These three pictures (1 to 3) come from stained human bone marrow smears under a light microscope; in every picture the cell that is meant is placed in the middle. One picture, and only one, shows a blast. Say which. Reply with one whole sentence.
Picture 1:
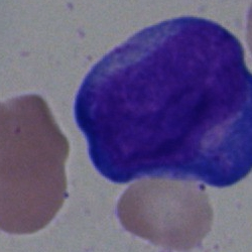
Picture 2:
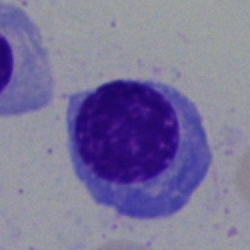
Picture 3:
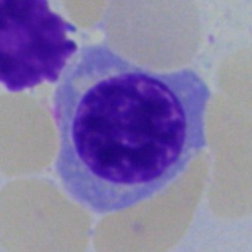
It is picture 1 that shows the blast.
